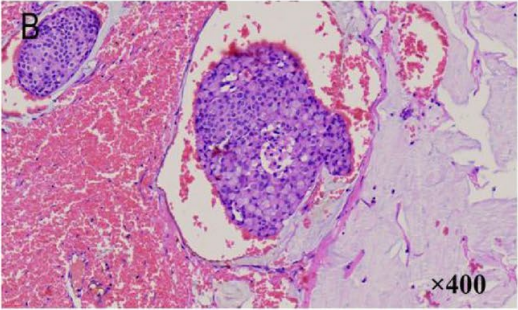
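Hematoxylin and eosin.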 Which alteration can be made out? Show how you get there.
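Cancer cell clusters can be seen in the blood vessels. A rounded cluster of tumour cells lies within a space lined by a thin wall. Red blood cells surround the cluster inside the same space.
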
